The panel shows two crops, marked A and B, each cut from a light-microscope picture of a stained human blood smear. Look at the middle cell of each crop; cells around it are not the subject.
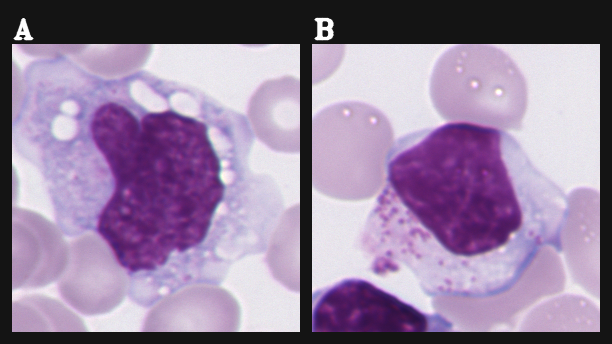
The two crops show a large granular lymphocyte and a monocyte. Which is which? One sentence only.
Identified in crop A is a monocyte, with a large granular lymphocyte identified in crop B.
